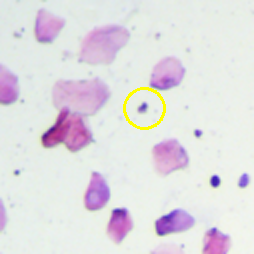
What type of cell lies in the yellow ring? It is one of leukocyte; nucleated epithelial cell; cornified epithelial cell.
The ringed cell is a leukocyte.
